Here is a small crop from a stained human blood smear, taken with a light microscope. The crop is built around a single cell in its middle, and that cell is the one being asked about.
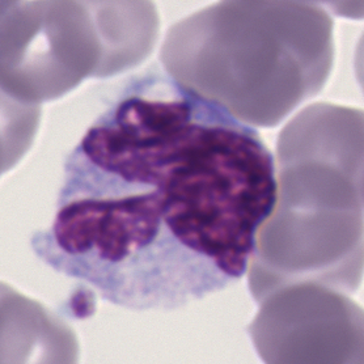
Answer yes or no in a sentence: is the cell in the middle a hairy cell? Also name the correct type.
No, the central cell is classed as a monocyte and not as a hairy cell.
